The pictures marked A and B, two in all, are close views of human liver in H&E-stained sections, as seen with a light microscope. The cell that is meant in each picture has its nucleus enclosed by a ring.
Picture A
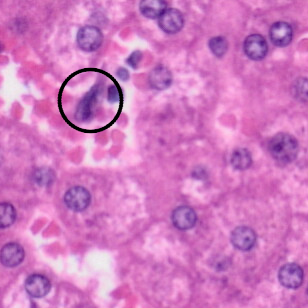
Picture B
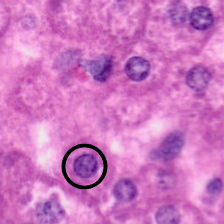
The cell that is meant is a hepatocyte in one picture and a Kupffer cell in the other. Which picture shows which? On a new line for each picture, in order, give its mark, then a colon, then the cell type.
A: Kupffer cell
B: hepatocyte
